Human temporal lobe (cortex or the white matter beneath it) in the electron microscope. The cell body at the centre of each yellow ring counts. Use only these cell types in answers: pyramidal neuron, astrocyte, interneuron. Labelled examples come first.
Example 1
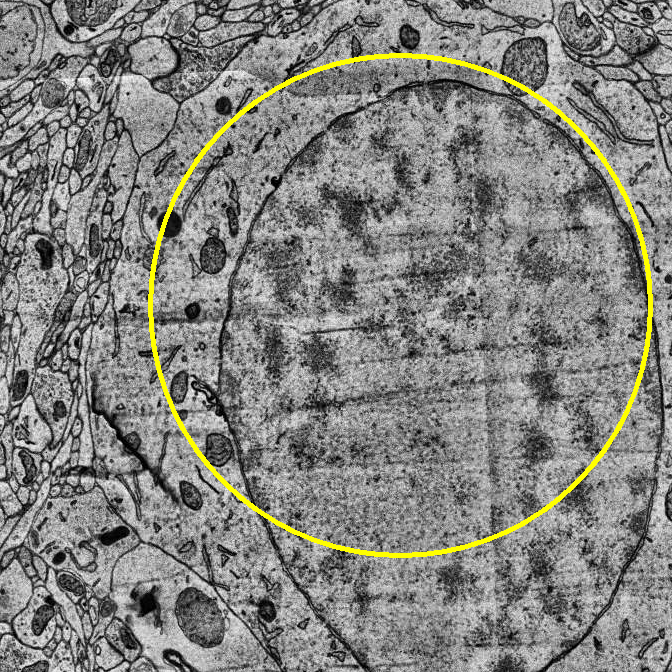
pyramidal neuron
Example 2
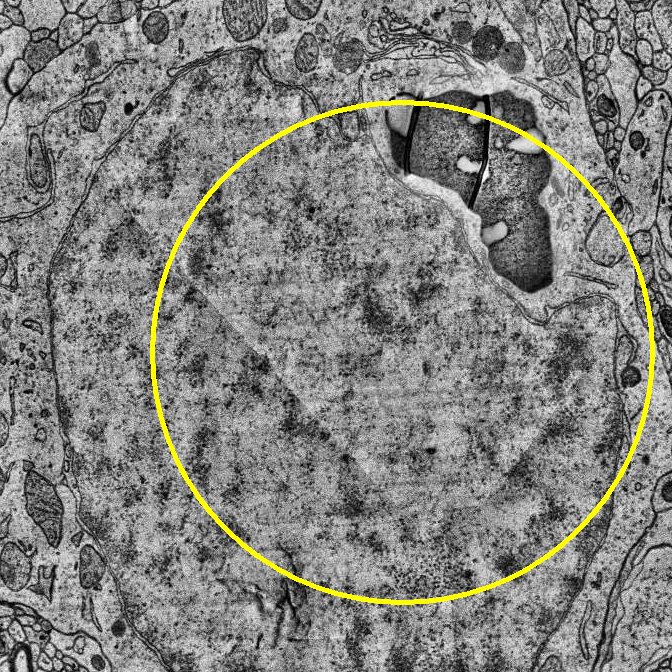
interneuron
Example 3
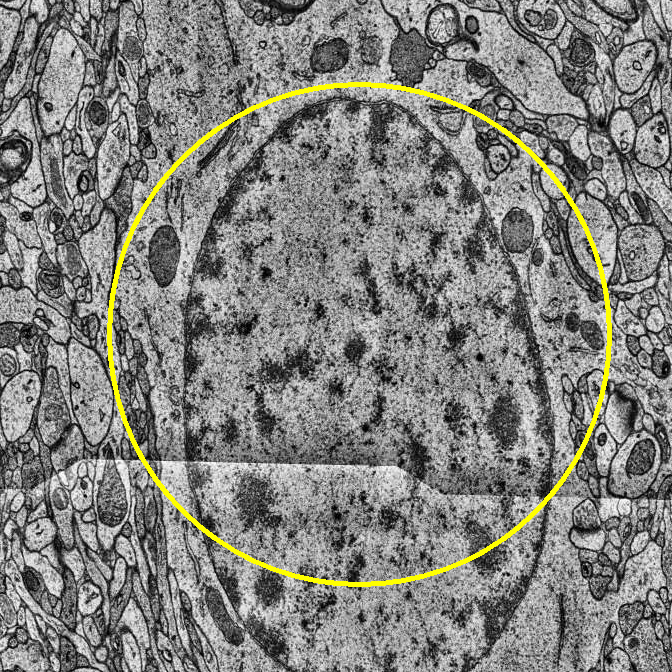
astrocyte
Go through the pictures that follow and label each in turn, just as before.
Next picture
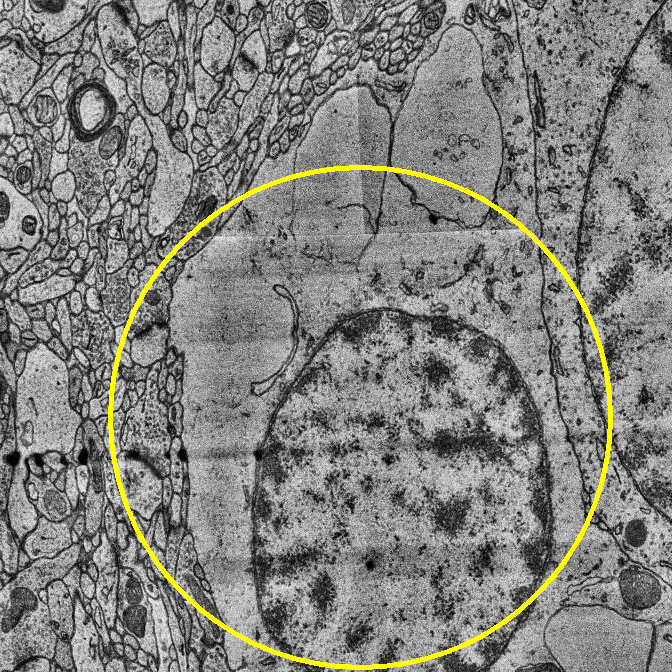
astrocyte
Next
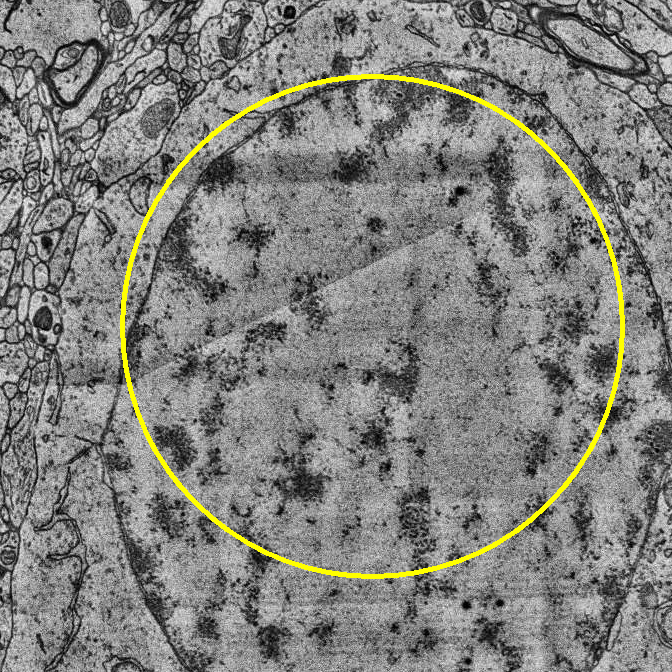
pyramidal neuron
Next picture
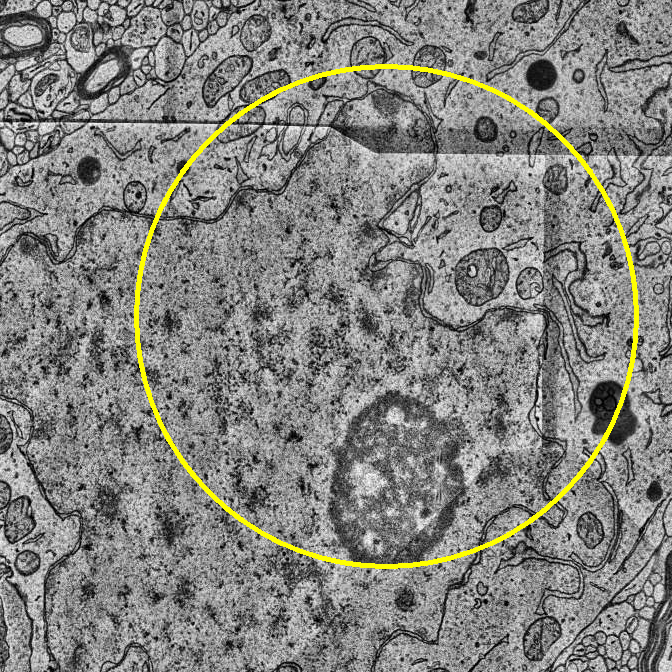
interneuron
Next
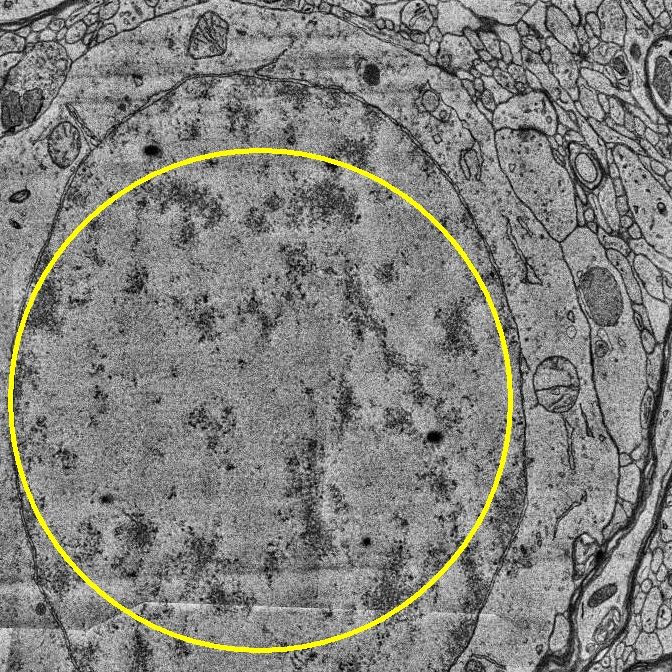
pyramidal neuron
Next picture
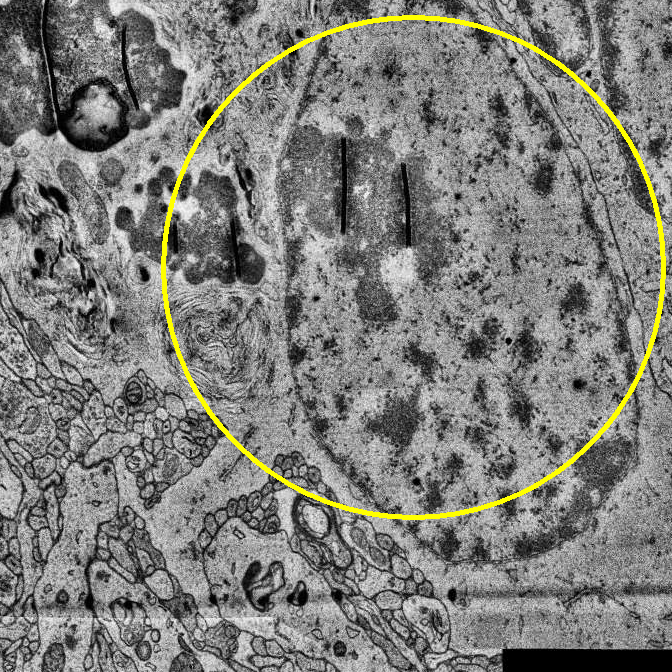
astrocyte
